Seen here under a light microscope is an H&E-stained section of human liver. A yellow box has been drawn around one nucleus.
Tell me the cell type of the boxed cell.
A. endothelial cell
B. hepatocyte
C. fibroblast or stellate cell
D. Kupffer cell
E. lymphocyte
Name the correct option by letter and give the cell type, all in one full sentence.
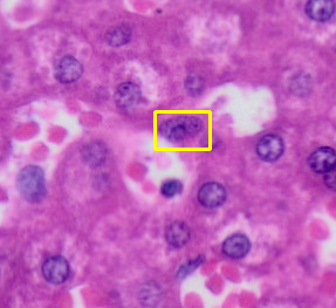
In this item, the boxed cell is a Kupffer cell, and option D is right.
